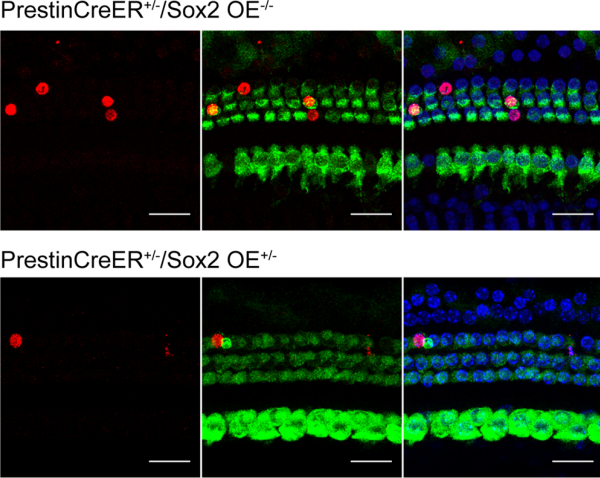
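Two rows of images show the cochlear epithelium with hair cells in green cytoplasmic staining and nuclei in blue. In each row three upper rows of smaller outer hair cells lie above a single row of larger, more densely green inner hair cells. A few round red nuclei lie within the outer hair cell rows, some overlapping green cells and appearing yellow or pink in the merged image. The upper row of images contains several such red nuclei, while the lower row contains only one or two.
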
